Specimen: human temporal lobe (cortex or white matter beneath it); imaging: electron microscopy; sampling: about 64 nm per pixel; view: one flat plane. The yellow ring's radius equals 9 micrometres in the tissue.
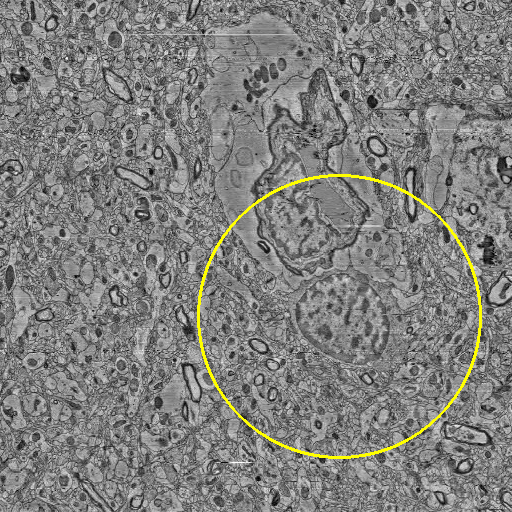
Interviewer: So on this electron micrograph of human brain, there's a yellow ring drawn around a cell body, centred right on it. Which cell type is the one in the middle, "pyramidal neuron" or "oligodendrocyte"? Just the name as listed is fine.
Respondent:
oligodendrocyte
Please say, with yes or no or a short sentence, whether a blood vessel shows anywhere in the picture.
Yes.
